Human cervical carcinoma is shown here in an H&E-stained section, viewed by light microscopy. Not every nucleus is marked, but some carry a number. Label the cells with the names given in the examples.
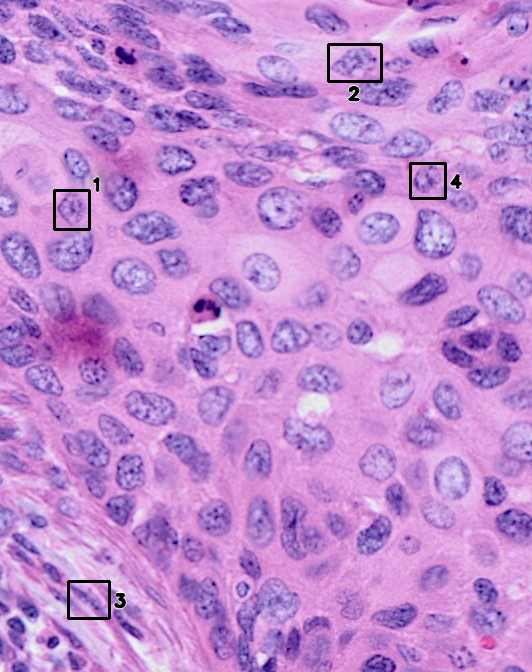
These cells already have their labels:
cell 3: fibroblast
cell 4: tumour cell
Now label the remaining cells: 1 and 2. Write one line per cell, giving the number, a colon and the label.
1: tumour cell
2: tumour cell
